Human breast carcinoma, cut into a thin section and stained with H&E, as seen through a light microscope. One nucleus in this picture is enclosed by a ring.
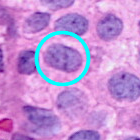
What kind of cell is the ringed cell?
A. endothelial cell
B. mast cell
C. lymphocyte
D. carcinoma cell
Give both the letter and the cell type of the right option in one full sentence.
The correct option, D, describes the ringed cell as a carcinoma cell.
